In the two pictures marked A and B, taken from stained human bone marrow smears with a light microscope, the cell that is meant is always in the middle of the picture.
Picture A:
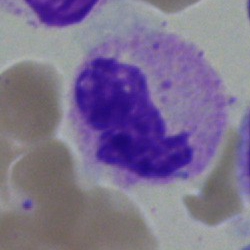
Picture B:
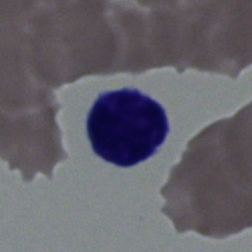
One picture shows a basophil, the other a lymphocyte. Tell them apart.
A: basophil
B: lymphocyte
